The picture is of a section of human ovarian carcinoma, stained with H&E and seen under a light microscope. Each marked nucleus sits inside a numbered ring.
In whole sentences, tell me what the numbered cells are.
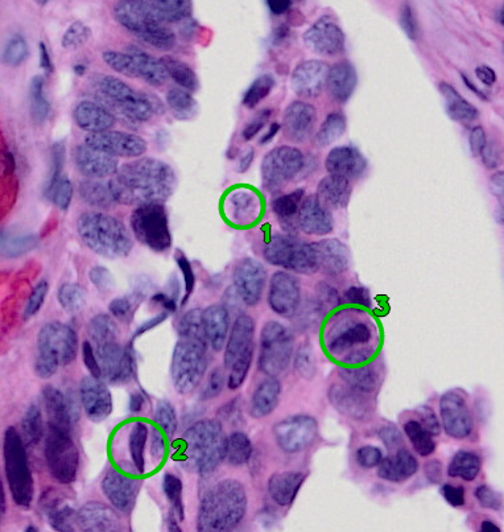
Cell 1 is a macrophage or monocyte. Cells 2 and 3 are carcinoma cells.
